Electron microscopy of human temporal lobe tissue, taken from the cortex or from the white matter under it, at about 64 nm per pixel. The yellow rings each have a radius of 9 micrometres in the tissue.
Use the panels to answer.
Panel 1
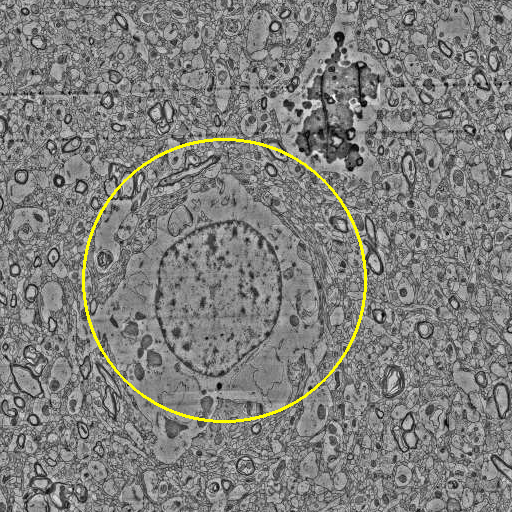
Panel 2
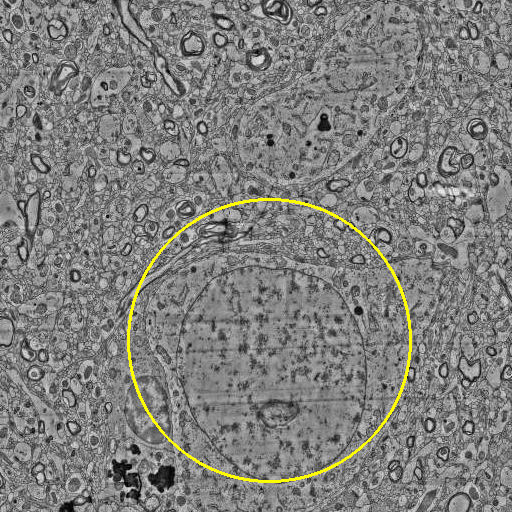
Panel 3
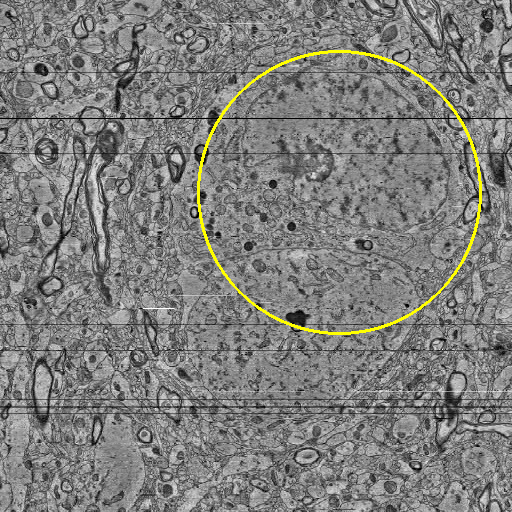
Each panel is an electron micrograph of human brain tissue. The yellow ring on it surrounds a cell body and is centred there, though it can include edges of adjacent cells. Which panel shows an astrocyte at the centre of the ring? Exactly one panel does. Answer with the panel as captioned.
Panel 1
